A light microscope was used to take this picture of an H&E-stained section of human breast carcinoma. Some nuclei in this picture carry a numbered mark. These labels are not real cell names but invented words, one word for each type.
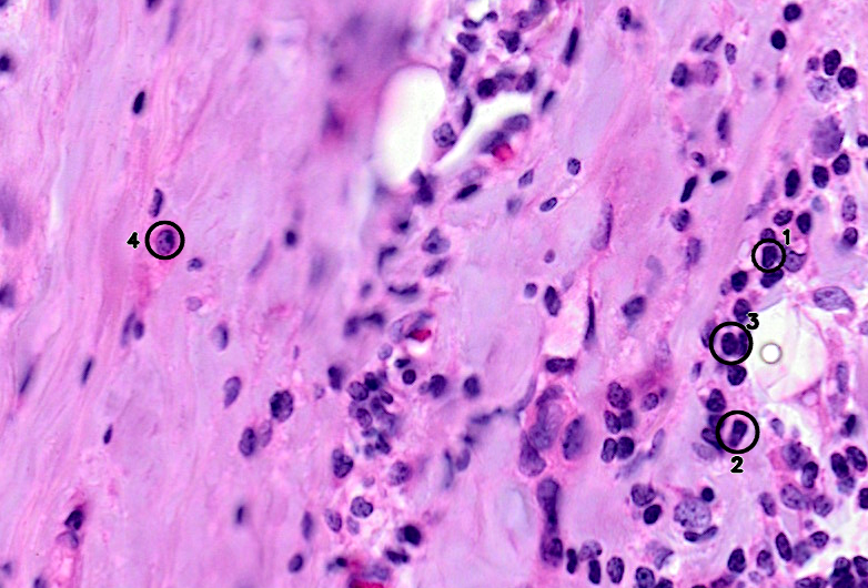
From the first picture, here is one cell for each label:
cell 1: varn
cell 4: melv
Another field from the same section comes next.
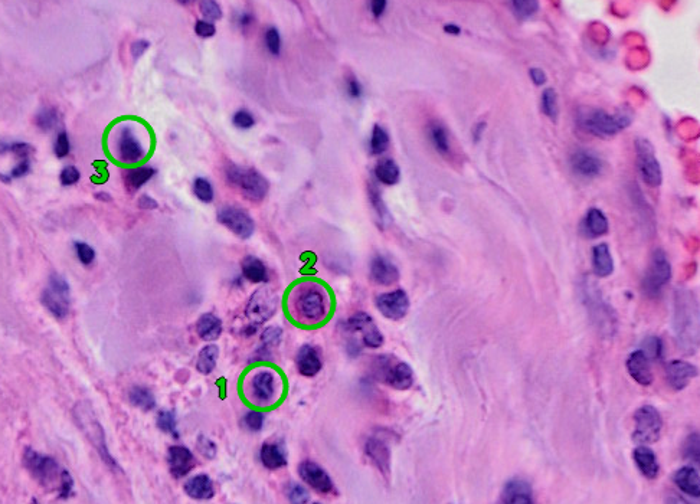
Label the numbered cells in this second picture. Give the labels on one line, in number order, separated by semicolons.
melv; melv; varn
